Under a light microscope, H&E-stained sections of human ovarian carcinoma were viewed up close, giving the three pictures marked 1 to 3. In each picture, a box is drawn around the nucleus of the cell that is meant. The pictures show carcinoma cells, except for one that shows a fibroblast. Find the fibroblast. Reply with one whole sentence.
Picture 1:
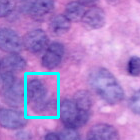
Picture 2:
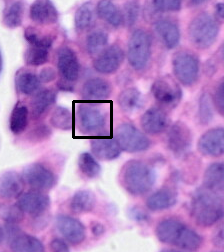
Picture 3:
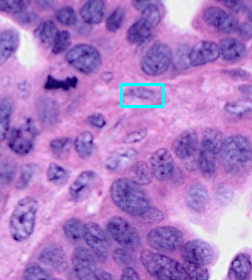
It is picture 3 that shows the fibroblast.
